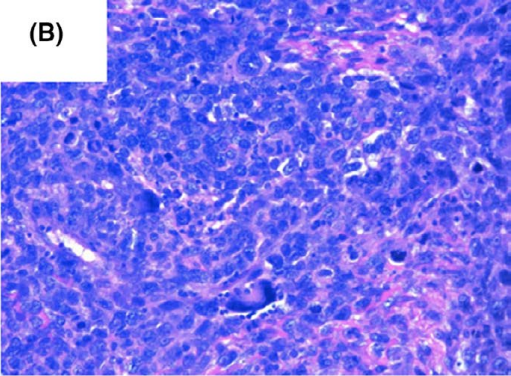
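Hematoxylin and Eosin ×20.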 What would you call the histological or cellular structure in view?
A: Solid pattern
